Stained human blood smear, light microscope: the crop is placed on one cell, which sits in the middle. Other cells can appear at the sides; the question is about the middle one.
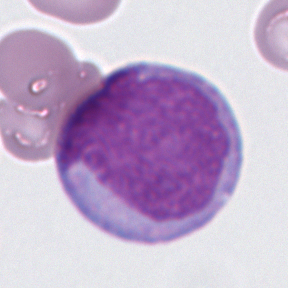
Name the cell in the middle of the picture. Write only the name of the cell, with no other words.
atypical promyelocyte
